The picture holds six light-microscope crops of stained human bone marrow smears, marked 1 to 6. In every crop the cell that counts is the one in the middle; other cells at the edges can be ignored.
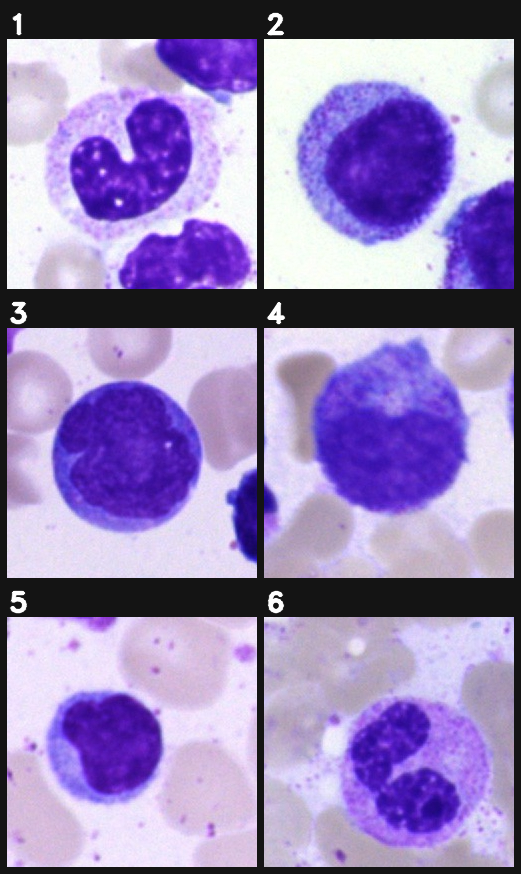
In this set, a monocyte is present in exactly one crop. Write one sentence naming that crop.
The requested cell, a monocyte, is the one in crop 3.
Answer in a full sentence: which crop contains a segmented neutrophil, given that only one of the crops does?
Among the crops provided, a segmented neutrophil occupies the center of crop 6.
